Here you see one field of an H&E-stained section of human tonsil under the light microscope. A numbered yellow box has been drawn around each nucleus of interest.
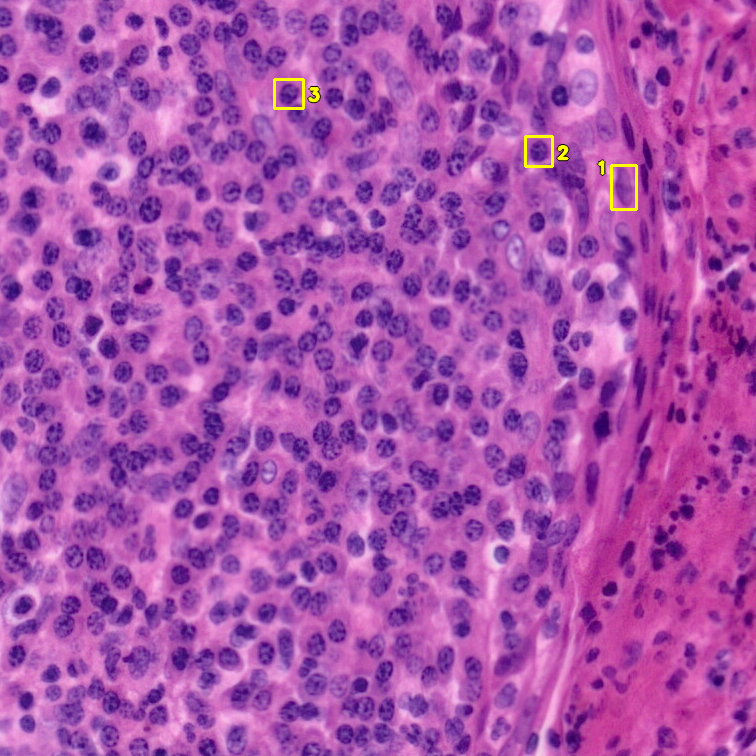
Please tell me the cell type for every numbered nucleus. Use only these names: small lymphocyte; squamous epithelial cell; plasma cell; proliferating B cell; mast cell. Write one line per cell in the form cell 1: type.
cell 1: squamous epithelial cell
cell 2: plasma cell
cell 3: plasma cell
